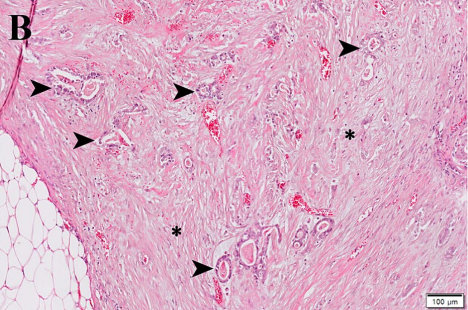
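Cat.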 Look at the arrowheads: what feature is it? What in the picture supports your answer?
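Small irregular glands. The arrowheads point to small, irregularly shaped tubules with a lumen.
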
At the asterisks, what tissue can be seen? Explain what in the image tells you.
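The asterisks lie in abundant pink fibrous tissue with spindle-shaped cells between the glands.
Answer: desmoplastic stroma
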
